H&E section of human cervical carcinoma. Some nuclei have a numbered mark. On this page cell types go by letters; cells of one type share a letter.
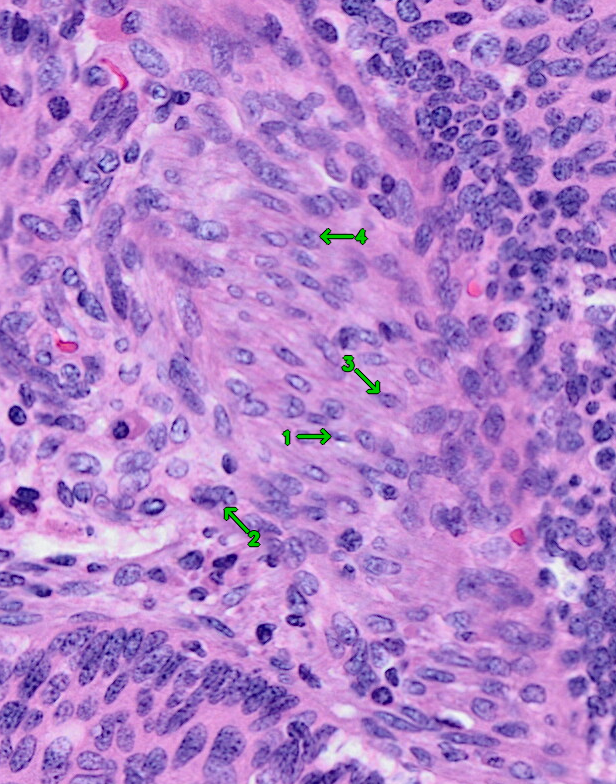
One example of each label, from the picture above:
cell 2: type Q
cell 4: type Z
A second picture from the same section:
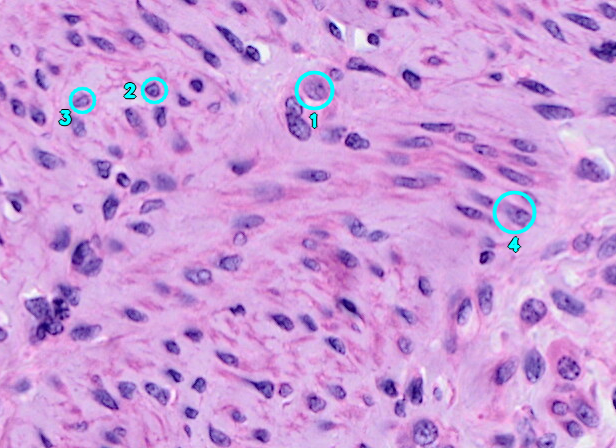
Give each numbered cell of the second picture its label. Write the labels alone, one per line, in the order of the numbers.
type Q
type Z
type Z
type Z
